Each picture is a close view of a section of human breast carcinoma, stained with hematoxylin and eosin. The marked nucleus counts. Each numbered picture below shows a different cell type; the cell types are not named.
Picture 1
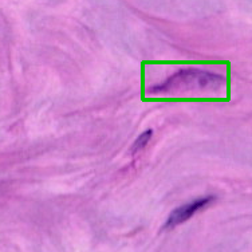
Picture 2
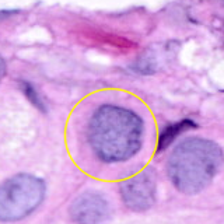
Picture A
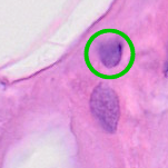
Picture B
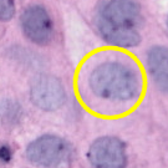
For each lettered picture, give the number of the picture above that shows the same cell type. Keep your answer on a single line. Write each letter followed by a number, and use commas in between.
A 1, B 2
